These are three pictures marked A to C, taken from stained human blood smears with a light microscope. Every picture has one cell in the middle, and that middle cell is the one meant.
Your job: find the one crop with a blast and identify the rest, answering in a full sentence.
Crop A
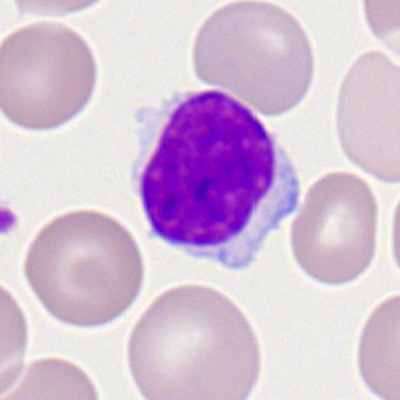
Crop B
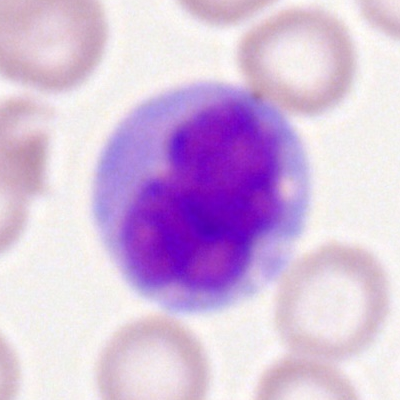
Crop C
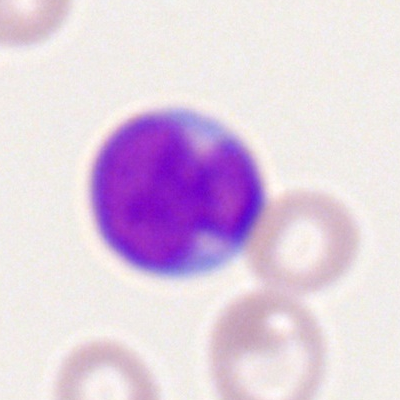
To sum up, crop C shows a blast, while crop A is a lymphocyte and crop B is a monocyte.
